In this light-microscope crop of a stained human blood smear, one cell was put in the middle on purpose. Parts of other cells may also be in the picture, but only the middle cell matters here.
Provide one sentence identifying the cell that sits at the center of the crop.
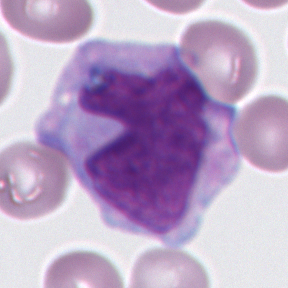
As for the cell in the middle, it is an atypical promyelocyte.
